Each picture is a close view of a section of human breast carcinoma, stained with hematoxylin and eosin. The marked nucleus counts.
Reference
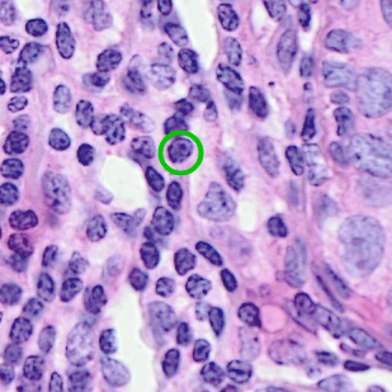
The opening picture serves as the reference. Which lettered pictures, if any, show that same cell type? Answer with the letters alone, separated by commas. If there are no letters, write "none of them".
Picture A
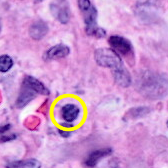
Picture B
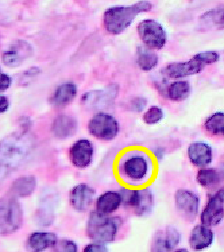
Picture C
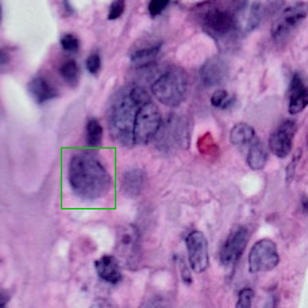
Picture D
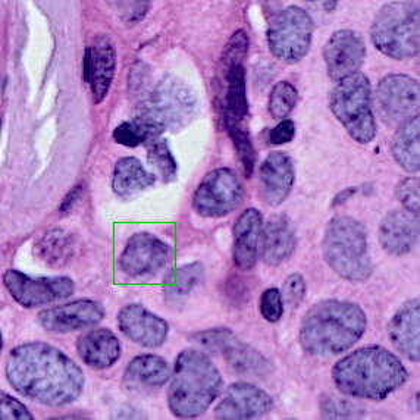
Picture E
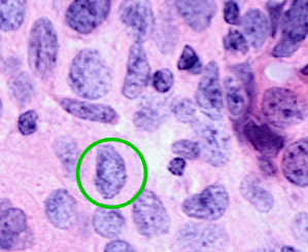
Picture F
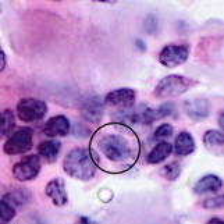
A, B, F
